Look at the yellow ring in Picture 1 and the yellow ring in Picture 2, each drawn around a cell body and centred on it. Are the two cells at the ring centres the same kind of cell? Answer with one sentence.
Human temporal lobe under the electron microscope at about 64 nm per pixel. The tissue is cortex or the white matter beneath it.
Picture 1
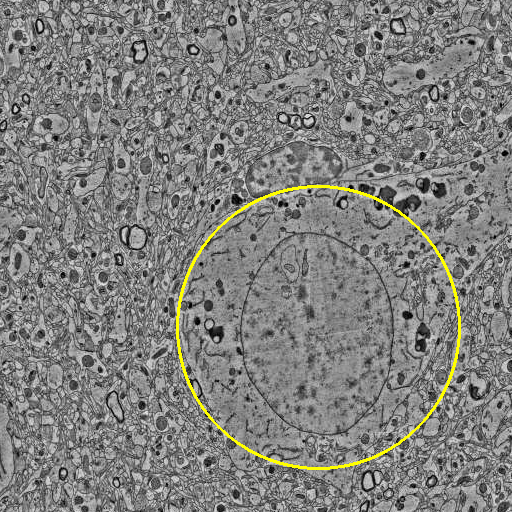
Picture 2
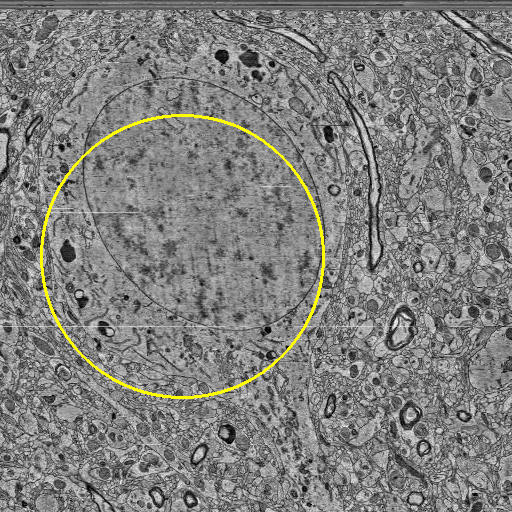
Yes, both are the same kind of cell.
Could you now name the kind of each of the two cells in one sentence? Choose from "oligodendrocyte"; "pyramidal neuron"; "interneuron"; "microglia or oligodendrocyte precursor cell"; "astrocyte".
In the first picture and in the second, the ring is centred on a pyramidal neuron.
